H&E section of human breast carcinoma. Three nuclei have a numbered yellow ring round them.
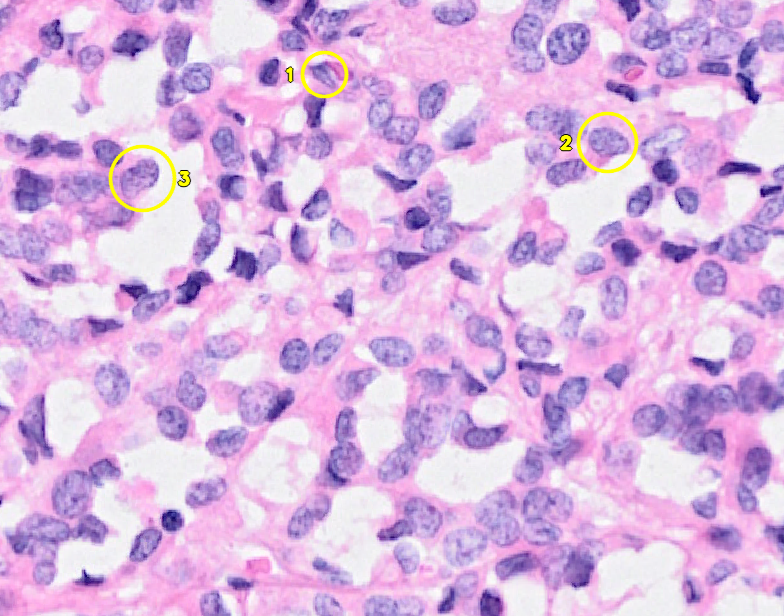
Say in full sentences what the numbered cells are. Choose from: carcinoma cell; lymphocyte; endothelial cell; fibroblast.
Cell 1 is an endothelial cell, cell 2 is a carcinoma cell and cell 3 is a carcinoma cell.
